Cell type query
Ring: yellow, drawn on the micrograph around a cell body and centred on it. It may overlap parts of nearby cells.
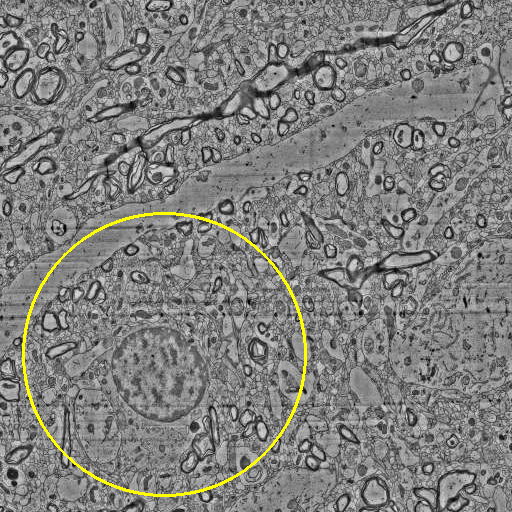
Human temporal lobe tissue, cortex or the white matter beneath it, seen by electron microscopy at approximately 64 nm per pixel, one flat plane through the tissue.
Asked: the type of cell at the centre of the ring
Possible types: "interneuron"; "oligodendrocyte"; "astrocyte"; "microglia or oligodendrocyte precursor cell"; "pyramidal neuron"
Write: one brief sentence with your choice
The ring marks an oligodendrocyte.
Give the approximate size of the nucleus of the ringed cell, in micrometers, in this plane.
The nucleus measures about 6 micrometers across in this plane.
